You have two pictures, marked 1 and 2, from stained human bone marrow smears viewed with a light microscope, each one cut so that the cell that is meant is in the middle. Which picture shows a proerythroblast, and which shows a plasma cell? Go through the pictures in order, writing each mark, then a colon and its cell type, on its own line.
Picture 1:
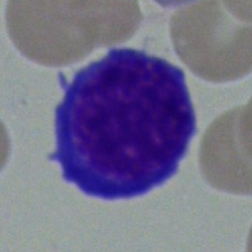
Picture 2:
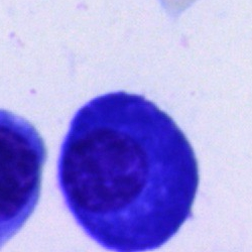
1: proerythroblast
2: plasma cell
